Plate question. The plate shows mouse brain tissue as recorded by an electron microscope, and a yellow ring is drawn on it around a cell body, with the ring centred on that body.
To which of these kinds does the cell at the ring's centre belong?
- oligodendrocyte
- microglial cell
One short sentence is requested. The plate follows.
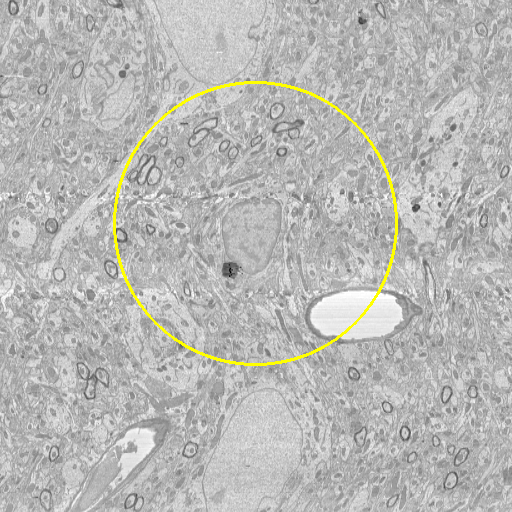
The cell at the ring's centre is a microglial cell.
